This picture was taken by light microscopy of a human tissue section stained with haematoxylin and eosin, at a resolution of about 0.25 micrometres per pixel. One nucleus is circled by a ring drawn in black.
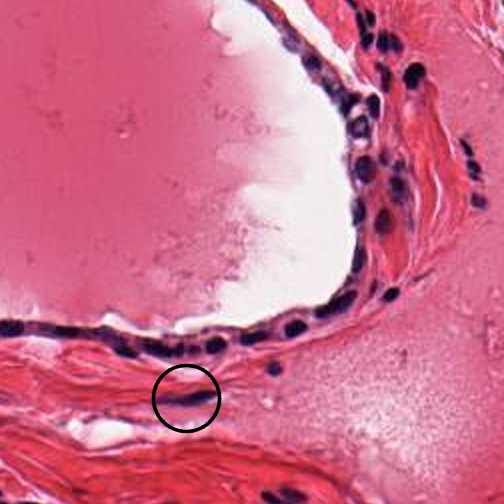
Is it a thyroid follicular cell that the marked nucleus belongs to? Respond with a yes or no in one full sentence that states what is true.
No, the marked nucleus is the nucleus of a supporting cell rather than of a thyroid follicular cell.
